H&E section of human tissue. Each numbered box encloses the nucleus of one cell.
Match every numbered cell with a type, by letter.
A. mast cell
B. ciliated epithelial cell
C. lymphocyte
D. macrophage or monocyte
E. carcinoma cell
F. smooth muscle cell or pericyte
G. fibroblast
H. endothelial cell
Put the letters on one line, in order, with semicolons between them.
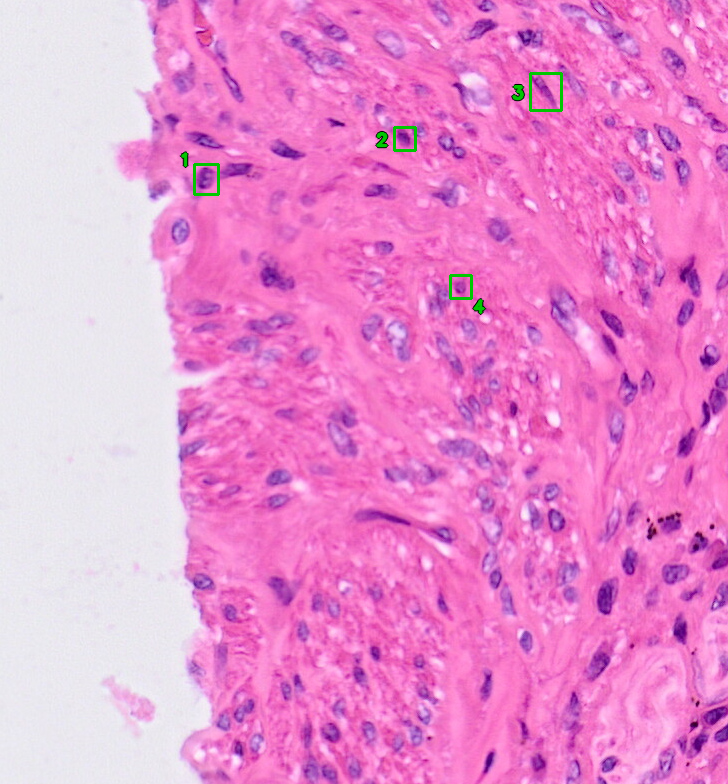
A; F; F; F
